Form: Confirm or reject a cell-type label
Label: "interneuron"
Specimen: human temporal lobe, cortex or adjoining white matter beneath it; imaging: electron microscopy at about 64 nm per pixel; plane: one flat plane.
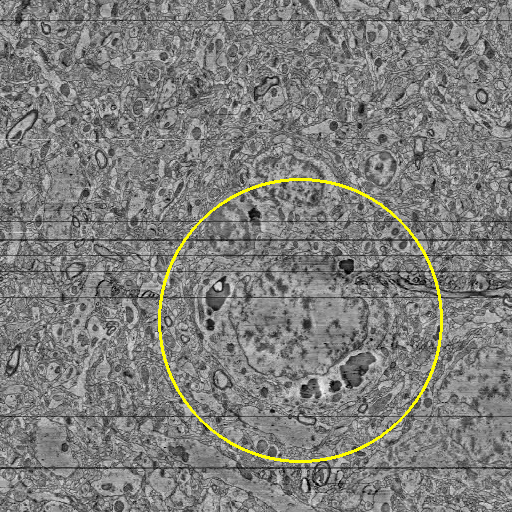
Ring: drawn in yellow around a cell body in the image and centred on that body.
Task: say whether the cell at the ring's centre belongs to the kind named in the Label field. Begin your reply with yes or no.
Yes, it belongs to that kind.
